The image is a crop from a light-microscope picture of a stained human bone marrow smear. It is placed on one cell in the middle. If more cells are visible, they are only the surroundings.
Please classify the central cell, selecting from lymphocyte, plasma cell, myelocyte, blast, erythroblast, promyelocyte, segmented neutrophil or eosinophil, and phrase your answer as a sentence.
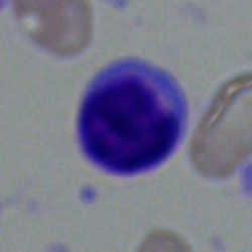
The central cell in this smear crop is a lymphocyte.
